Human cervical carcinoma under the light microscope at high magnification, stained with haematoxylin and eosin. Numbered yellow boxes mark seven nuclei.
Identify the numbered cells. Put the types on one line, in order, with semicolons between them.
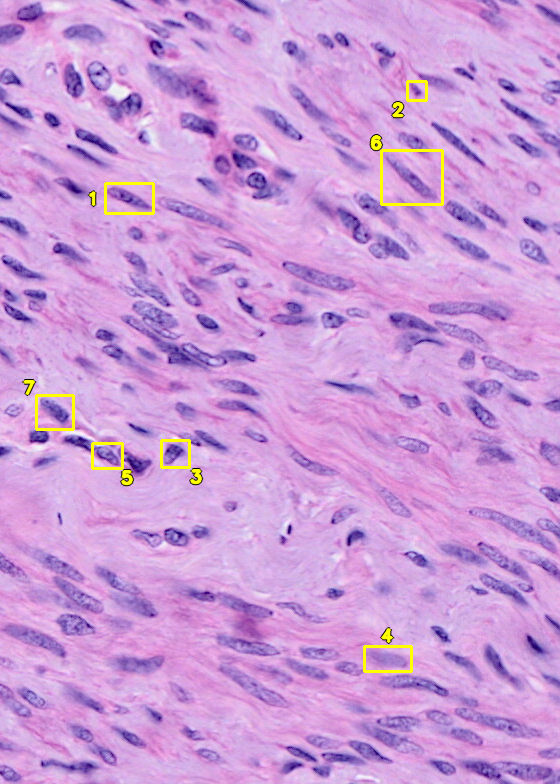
smooth muscle cell; smooth muscle cell; fibroblast; smooth muscle cell; endothelial cell; smooth muscle cell; endothelial cell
